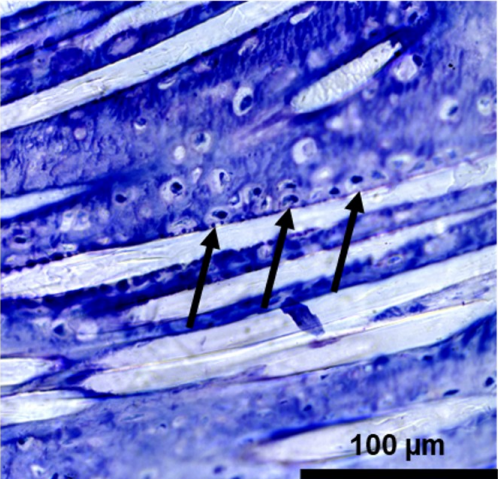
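Chondrocyte-like cells in a deep blue-purple matrix lie between long pale unstained fibres running diagonally across the field. Many cells are rounded with dark nuclei, each sitting in a clear halo, and some form short rows alongside the fibres.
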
